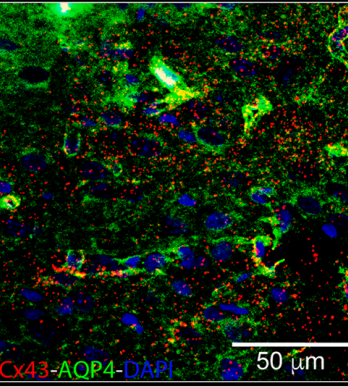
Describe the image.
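Bright green lines outline several elongated and branching tubular profiles, which look like blood vessels, and along these outlines red dots overlap the green, giving yellow. Between the vessels the green forms a finer network of thin processes, and the red dots are densely and fairly evenly distributed. Nuclei are round to oval, some lying close against the vessel walls.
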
